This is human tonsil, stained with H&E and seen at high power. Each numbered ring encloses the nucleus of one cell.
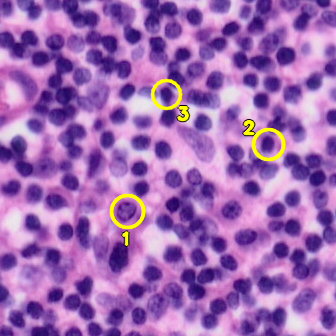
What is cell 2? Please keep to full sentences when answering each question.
Cell 2 in the field of view is a small lymphocyte.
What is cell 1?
Here the cell numbered 1 is a plasma cell.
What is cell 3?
The cell identified by number 3 is a small lymphocyte.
